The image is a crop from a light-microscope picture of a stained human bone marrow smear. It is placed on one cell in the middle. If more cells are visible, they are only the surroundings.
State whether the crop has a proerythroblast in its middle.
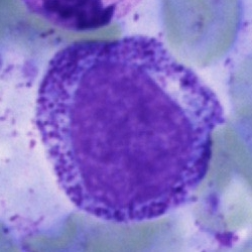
no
